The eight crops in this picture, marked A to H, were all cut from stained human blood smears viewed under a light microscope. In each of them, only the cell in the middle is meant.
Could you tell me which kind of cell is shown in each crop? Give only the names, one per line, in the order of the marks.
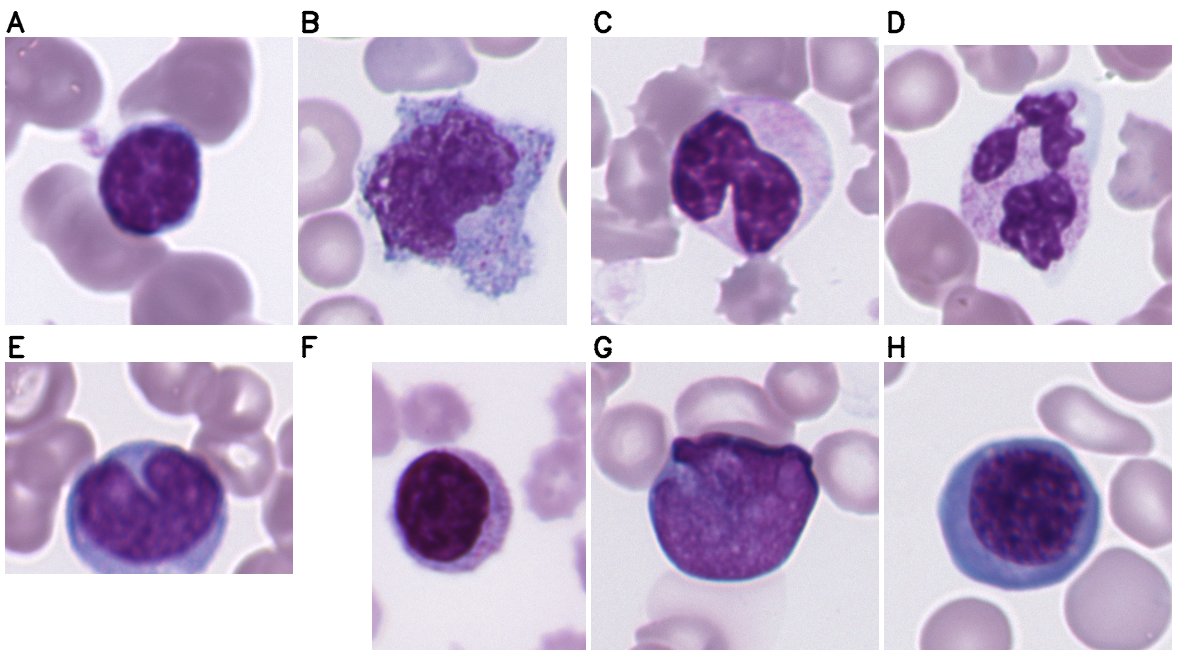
typical lymphocyte
promyelocyte
band neutrophil
segmented neutrophil
monocyte
normoblast
myeloblast
normoblast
